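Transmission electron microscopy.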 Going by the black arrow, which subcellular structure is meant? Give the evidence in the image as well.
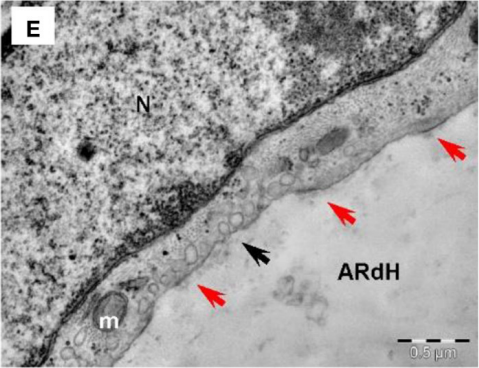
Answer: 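Small round vesicles cluster in the thin cytoplasm near the basal membrane. The arrow points at this cluster of vesicles.
Conclusion: caveolae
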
